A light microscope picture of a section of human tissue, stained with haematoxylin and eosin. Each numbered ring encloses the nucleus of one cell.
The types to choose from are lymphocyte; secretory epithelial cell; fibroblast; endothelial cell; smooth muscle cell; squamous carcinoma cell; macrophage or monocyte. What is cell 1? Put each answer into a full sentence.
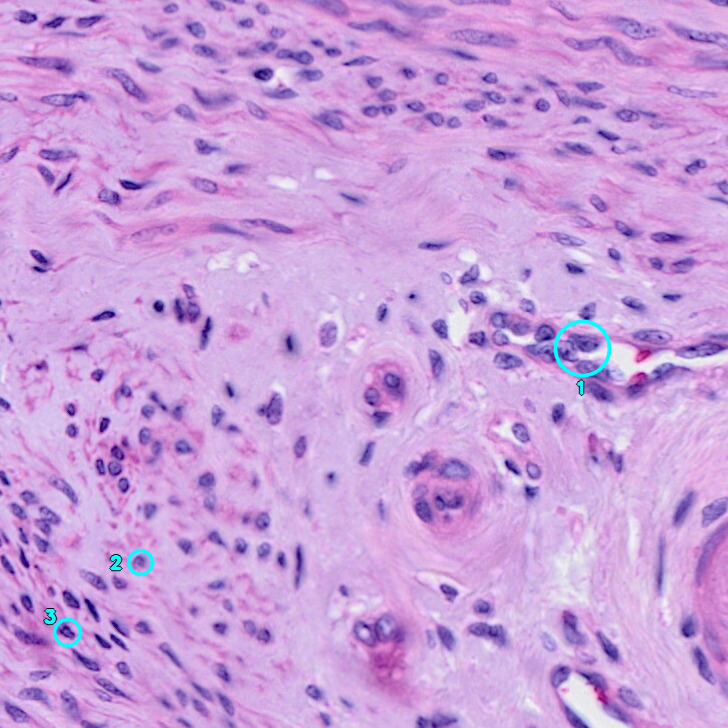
At number 1, the marked cell is an endothelial cell.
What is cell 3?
Regarding cell 3, this one is a smooth muscle cell.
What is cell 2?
The numeral 2 marks a smooth muscle cell in this section.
